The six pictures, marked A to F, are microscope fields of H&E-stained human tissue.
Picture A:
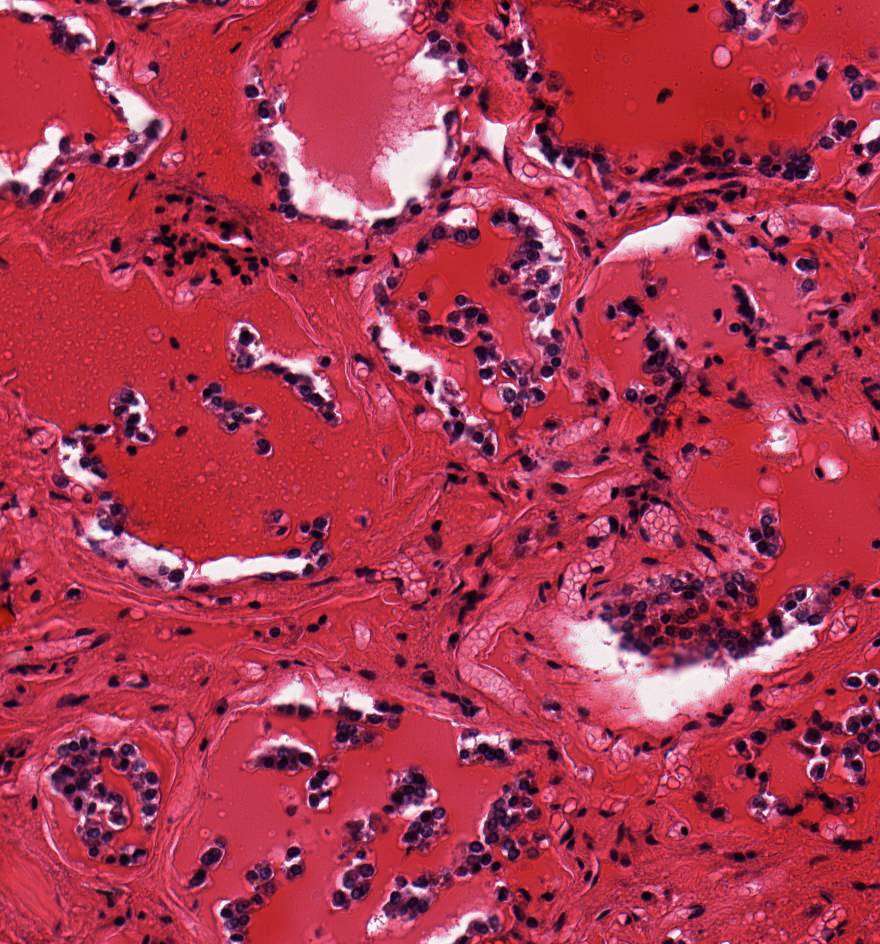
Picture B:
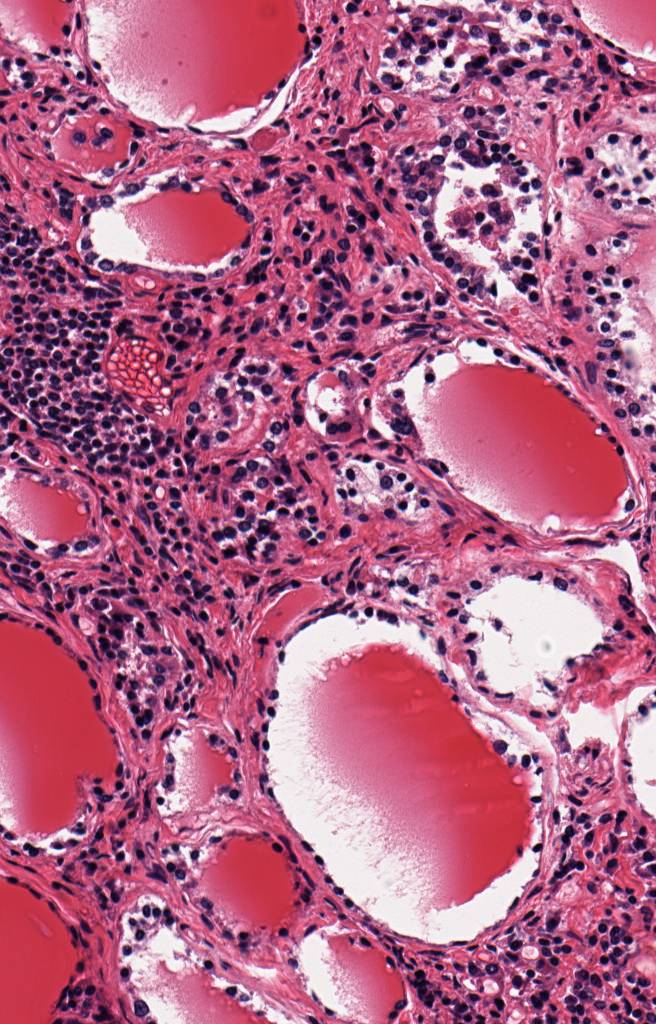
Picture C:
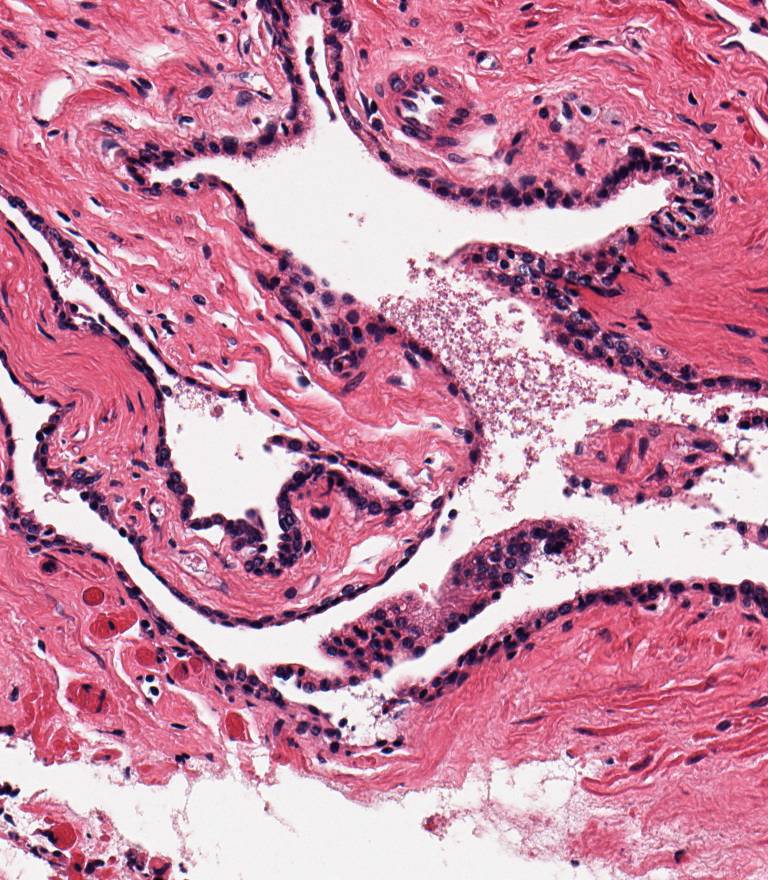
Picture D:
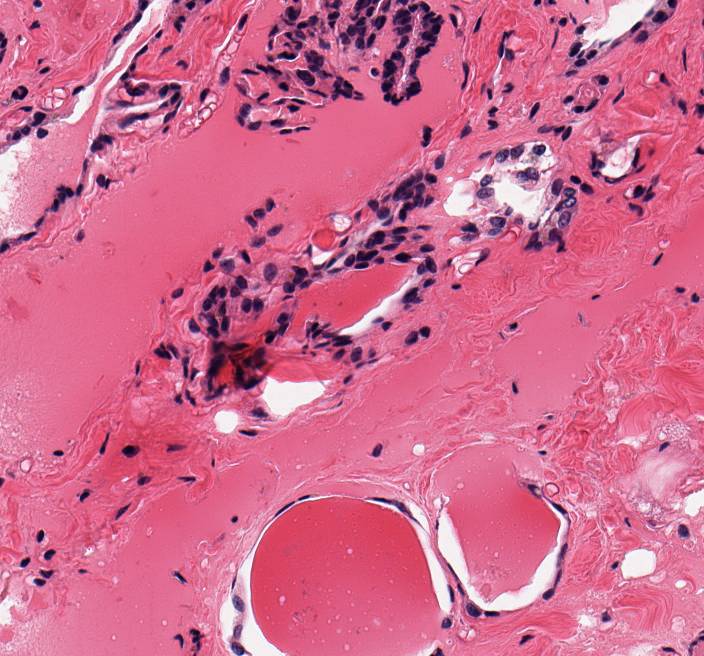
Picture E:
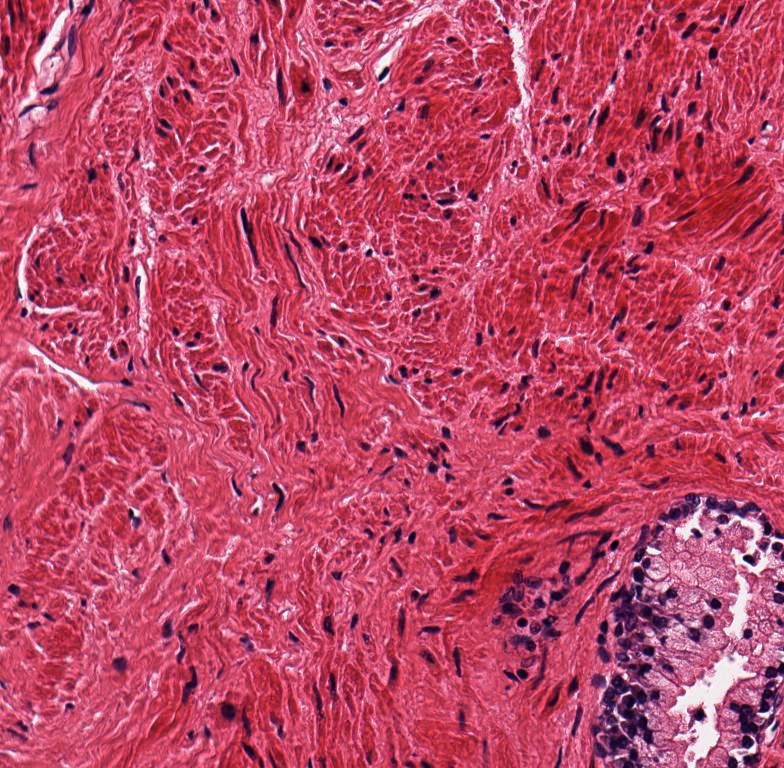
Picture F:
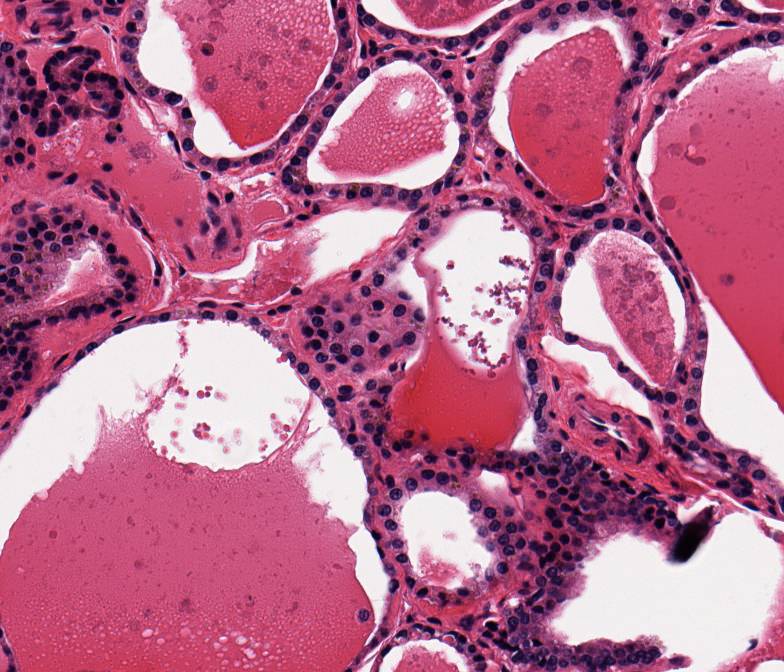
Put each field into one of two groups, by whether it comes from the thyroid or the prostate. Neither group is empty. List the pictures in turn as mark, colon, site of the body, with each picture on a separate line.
A: thyroid
B: thyroid
C: prostate
D: thyroid
E: prostate
F: thyroid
